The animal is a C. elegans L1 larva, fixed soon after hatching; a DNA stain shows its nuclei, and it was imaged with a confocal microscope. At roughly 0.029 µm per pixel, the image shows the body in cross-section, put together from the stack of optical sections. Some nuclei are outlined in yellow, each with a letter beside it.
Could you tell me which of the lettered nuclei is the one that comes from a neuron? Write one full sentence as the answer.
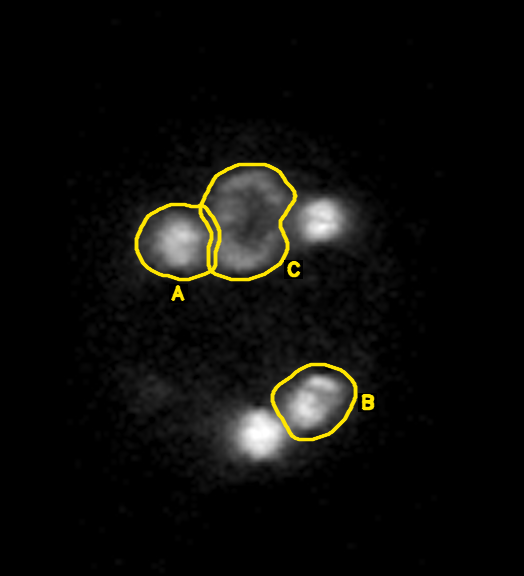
It is A that belongs to a neuron.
